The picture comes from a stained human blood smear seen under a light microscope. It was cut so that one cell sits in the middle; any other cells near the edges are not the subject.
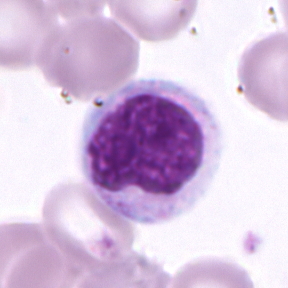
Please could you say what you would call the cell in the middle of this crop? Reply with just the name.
metamyelocyte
